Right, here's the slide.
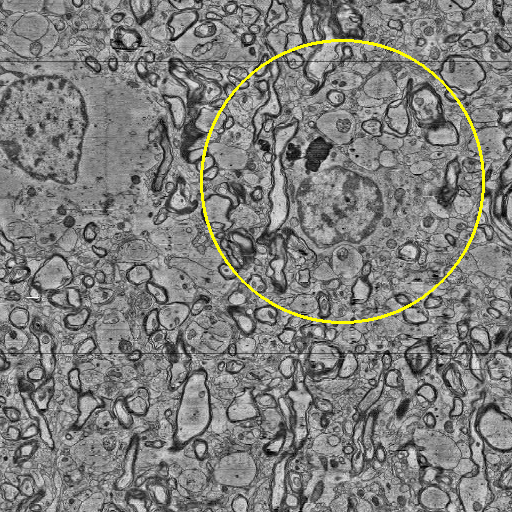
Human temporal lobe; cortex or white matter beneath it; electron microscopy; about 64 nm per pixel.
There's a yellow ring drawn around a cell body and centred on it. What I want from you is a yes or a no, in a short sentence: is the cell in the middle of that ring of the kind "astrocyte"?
No, it's of some other kind.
